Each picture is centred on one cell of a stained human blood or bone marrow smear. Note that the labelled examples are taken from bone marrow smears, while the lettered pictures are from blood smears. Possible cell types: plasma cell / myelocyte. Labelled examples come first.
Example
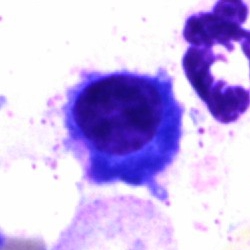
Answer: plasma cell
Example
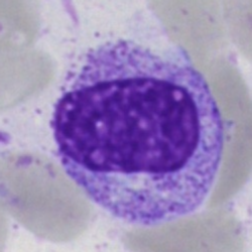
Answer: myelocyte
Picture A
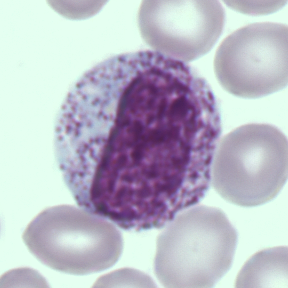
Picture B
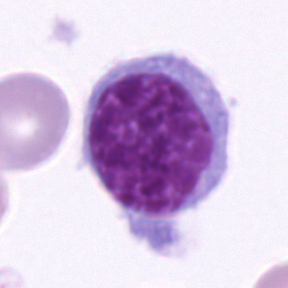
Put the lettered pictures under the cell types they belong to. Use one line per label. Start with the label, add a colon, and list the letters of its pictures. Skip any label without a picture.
plasma cell: B
myelocyte: A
